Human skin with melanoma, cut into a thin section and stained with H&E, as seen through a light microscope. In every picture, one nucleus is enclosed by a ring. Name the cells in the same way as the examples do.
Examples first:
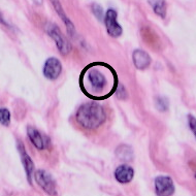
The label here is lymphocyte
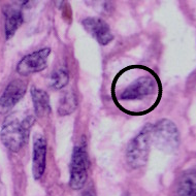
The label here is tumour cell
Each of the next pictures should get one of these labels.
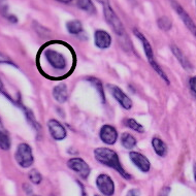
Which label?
lymphocyte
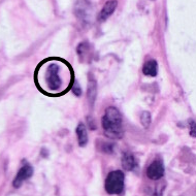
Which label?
lymphocyte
